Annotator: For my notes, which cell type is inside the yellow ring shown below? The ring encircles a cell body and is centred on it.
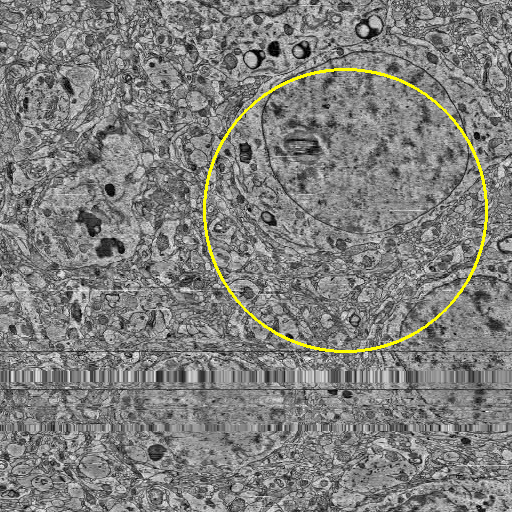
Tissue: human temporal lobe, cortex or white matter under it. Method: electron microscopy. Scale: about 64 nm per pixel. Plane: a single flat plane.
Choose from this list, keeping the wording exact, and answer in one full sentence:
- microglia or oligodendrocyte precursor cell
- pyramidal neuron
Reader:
At the centre of the yellow ring there is a pyramidal neuron, as shown in the picture.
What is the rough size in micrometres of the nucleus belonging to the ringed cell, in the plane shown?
In this plane the nucleus is about 13 micrometres across.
